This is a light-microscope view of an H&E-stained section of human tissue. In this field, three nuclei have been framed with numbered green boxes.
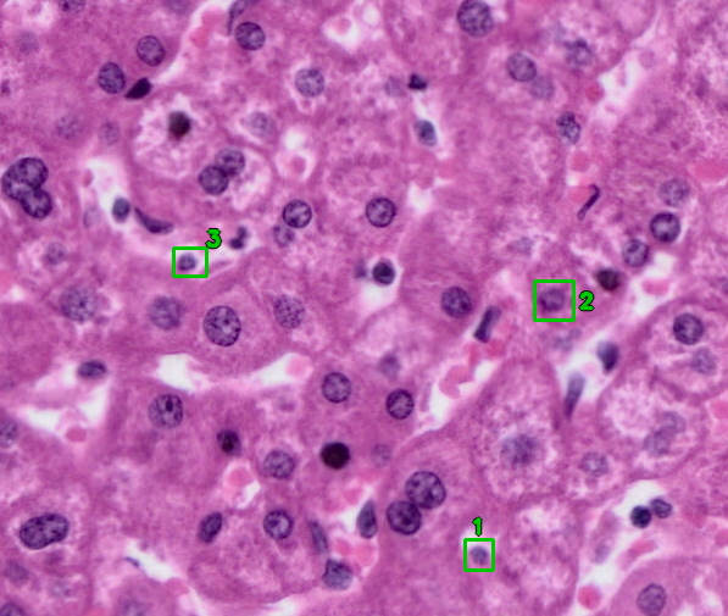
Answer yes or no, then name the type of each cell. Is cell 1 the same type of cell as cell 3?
Yes, both are lymphocytes.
